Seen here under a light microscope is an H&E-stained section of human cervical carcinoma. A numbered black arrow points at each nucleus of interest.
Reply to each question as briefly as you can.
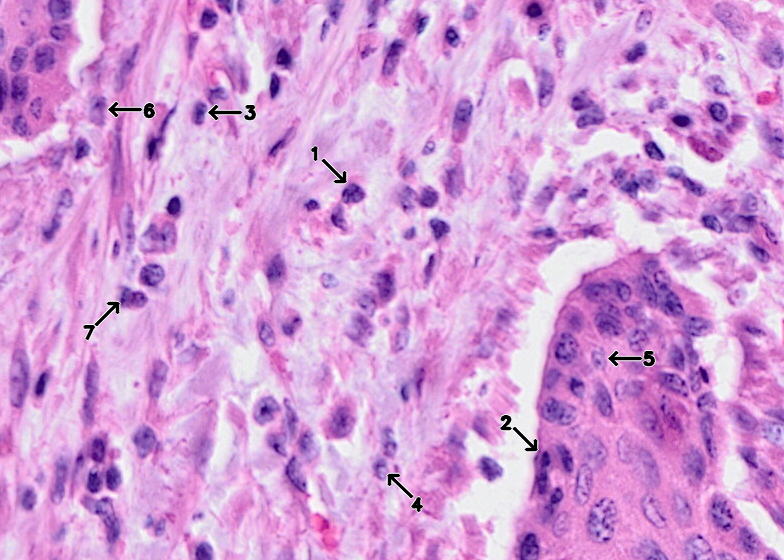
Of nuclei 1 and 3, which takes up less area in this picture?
3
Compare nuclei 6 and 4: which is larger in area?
6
